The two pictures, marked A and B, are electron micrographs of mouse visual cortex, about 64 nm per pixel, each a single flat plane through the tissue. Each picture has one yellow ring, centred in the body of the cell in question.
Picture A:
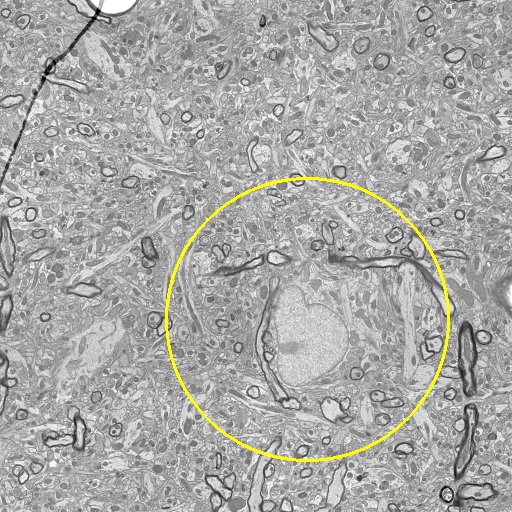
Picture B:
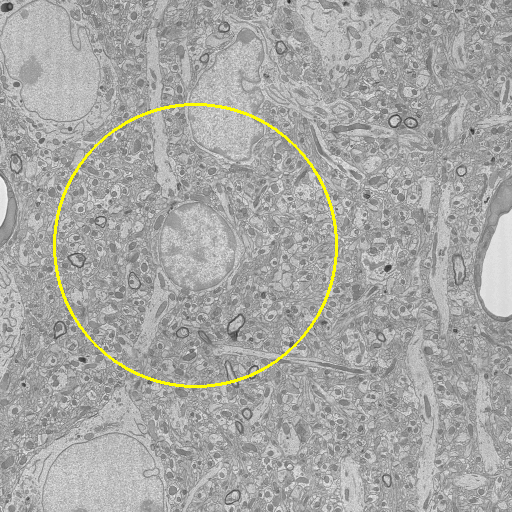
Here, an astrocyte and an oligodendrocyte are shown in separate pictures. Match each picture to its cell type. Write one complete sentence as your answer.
Picture B shows an oligodendrocyte, while picture A shows an astrocyte.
